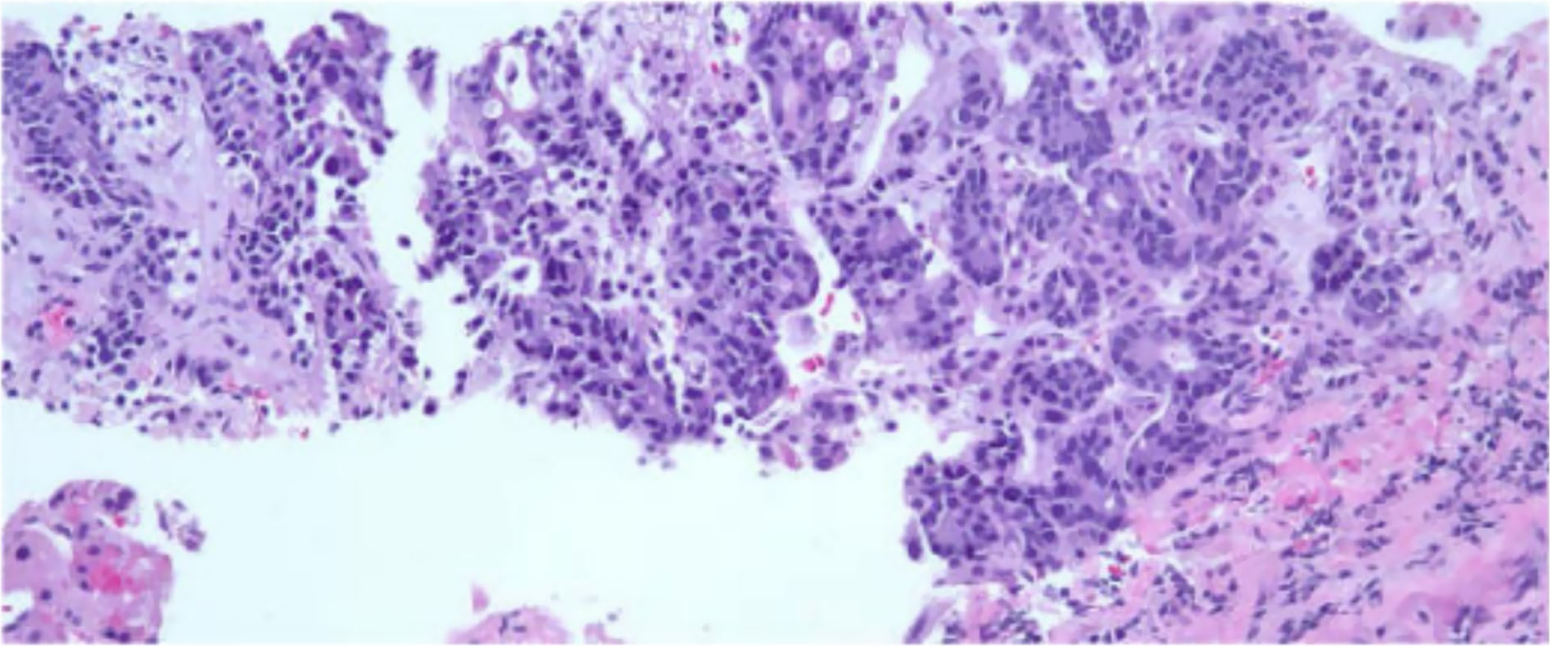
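Crowded, irregular glands and nests of atypical epithelial cells fill most of the field. At the lower right they border pink fibrous stroma with spindle-shaped nuclei, consistent with malignant glands of an adenocarcinoma set within a desmoplastic stroma.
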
